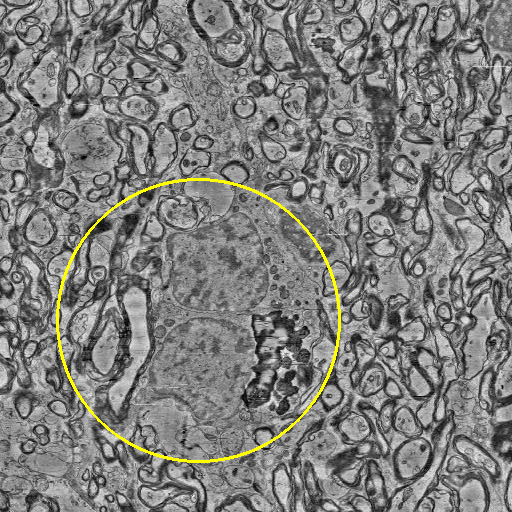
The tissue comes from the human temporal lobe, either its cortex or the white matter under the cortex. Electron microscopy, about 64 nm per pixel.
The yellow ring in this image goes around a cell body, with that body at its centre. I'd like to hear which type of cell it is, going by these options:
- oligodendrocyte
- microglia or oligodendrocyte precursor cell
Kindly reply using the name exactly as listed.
oligodendrocyte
